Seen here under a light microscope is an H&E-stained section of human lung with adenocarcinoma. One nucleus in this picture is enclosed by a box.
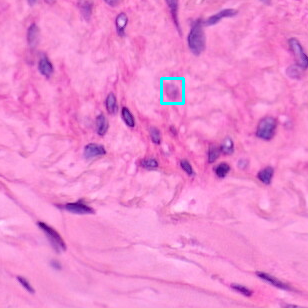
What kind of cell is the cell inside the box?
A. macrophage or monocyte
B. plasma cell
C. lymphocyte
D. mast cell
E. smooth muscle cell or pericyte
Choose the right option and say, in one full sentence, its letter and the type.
The choice that fits is option E, as the cell inside the box is a smooth muscle cell or pericyte.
